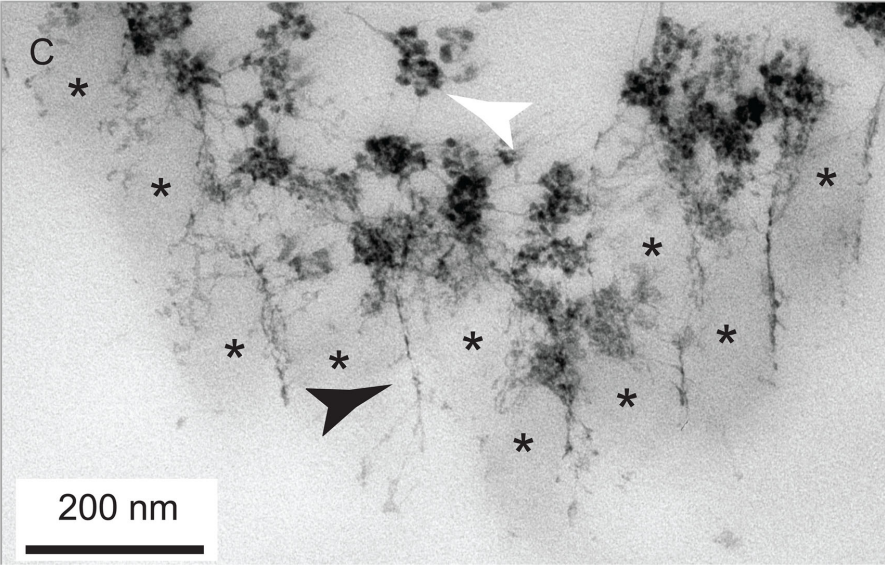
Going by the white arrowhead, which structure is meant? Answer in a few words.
Aggregates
